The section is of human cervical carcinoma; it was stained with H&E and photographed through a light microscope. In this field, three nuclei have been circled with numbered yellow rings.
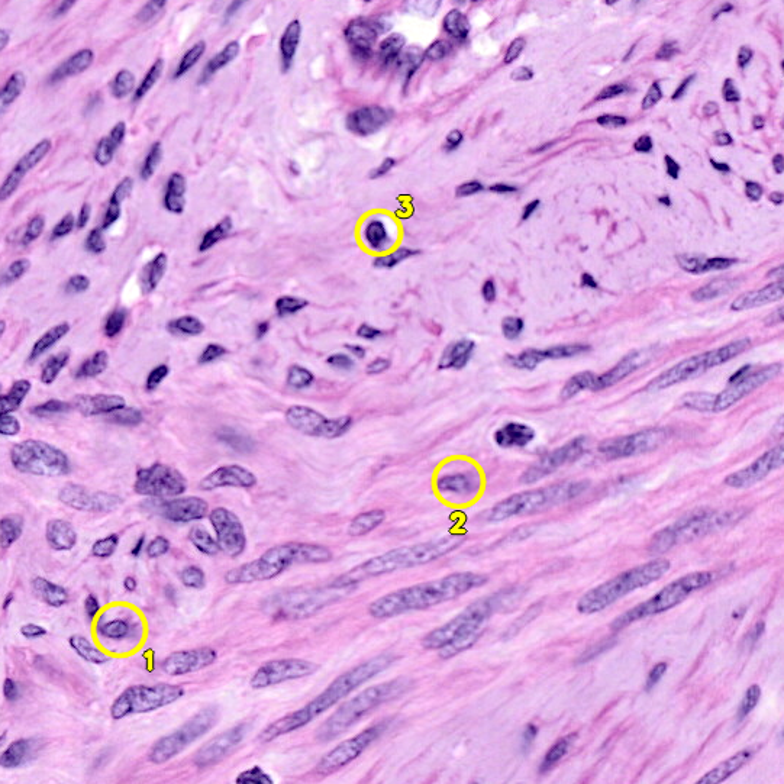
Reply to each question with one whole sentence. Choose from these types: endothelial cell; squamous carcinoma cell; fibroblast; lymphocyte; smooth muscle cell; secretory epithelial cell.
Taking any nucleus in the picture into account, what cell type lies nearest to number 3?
The nearest nucleus to number 3 belongs to a fibroblast.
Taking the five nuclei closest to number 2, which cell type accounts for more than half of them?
Around number 2, most of the five nearest nuclei are those of smooth muscle cells.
